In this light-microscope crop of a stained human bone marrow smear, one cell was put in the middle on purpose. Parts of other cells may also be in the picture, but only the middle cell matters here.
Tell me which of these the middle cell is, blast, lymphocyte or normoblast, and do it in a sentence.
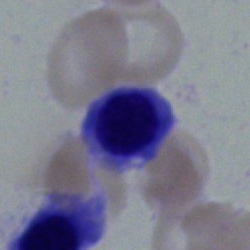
In short, the cell at the center is a normoblast.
